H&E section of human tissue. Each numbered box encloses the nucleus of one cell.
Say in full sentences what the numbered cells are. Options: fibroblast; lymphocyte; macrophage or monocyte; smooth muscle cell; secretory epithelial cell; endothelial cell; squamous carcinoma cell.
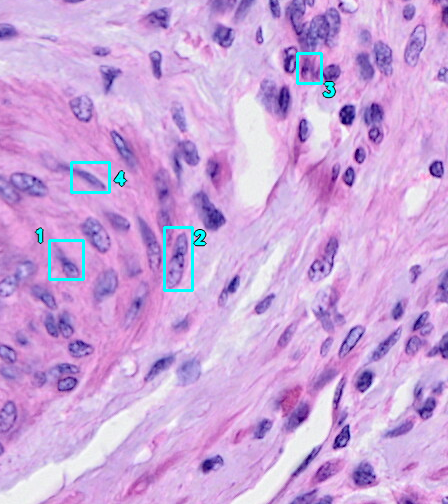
Cells 1, 2 and 4 are smooth muscle cells. Cell 3 is an endothelial cell.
